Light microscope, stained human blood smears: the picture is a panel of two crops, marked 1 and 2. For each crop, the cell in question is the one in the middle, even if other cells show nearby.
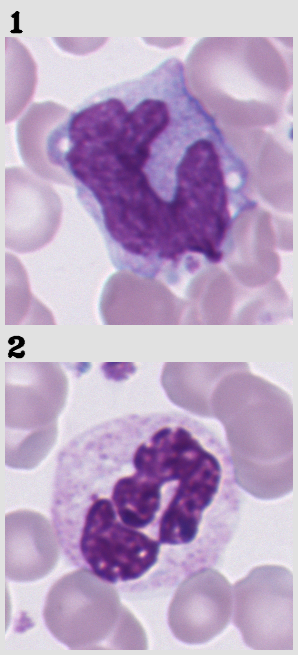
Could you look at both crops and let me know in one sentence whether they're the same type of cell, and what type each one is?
No, it is in crop 1 that a monocyte is shown, and in crop 2 that a segmented neutrophil is shown.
